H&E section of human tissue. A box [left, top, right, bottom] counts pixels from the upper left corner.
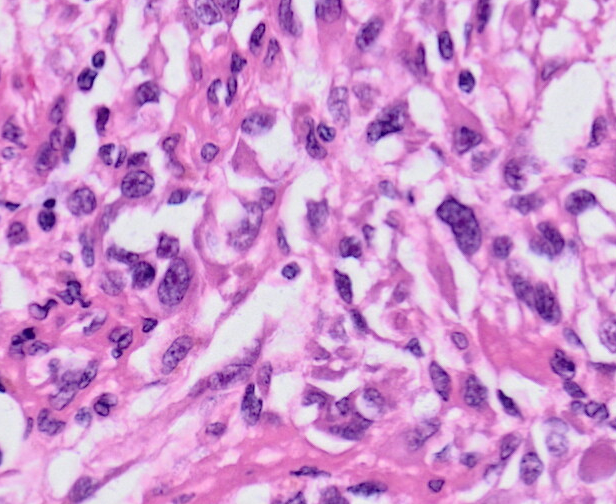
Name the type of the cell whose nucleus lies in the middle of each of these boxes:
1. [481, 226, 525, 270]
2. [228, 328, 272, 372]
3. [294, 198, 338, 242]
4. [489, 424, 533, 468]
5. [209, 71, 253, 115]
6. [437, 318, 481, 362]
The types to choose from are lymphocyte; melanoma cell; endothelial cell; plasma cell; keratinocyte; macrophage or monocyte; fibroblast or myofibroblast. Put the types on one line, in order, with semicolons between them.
melanoma cell; melanoma cell; melanoma cell; melanoma cell; endothelial cell; macrophage or monocyte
